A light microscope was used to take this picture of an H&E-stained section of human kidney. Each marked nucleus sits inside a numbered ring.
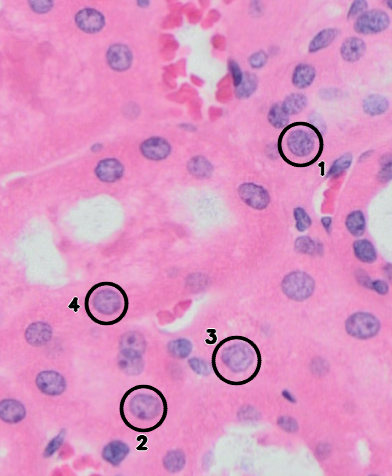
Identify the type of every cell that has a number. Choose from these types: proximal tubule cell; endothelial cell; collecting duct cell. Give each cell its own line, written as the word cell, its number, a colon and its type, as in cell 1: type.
cell 1: collecting duct cell
cell 2: proximal tubule cell
cell 3: proximal tubule cell
cell 4: proximal tubule cell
